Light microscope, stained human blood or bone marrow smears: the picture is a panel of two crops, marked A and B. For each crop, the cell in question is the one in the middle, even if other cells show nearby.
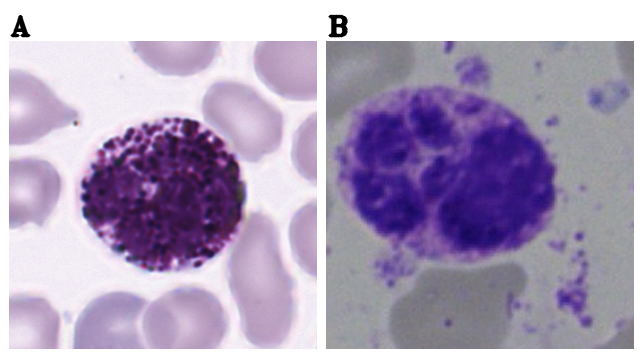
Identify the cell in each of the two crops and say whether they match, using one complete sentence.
Yes, the two crops show basophils at their centres.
